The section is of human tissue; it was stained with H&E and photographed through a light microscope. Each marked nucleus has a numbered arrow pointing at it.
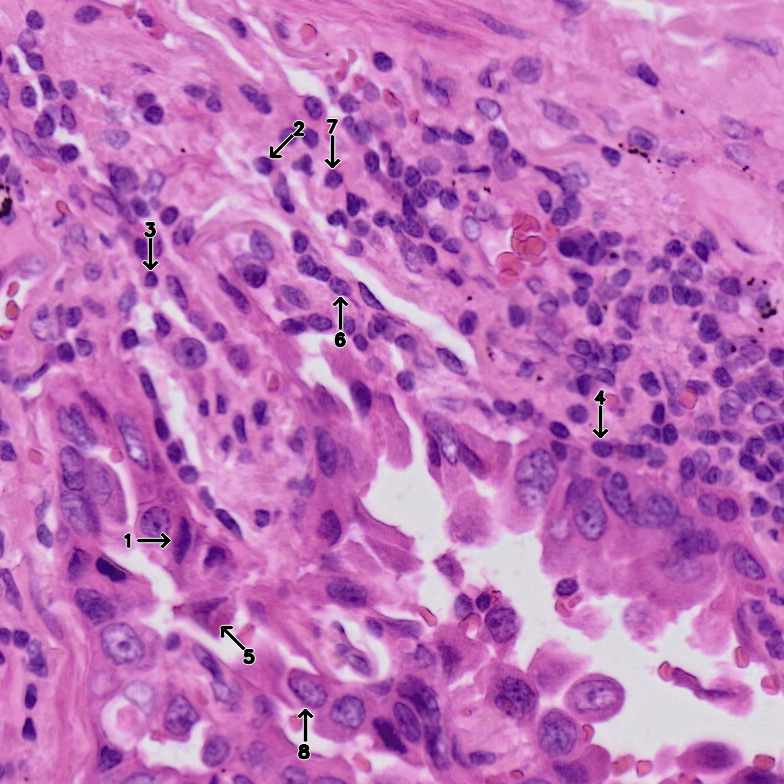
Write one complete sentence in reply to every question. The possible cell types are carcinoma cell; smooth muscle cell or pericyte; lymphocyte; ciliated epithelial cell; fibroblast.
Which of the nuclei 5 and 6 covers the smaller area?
Nucleus 6 is the smaller one; nucleus 5 covers about 2 times its area.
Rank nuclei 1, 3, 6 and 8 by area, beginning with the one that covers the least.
By area, going up from the smallest, they rank 3, 6, 1, 8.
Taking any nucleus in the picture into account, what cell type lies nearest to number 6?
Closest to number 6 lies the nucleus of a lymphocyte.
